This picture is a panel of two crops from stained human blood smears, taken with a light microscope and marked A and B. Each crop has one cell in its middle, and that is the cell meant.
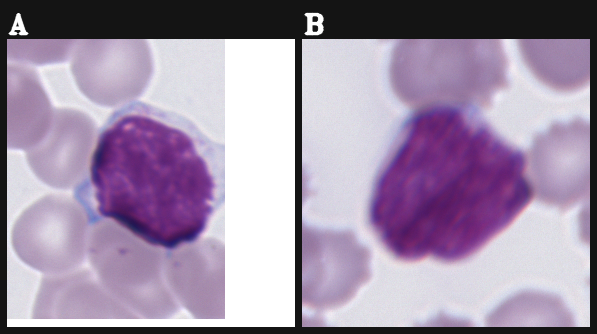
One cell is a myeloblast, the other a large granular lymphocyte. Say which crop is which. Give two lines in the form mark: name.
A: large granular lymphocyte
B: myeloblast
